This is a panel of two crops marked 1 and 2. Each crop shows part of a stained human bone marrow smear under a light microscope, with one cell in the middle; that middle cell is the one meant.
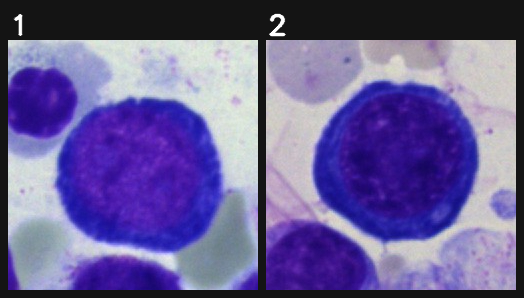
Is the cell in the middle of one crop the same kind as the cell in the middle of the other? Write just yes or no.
yes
